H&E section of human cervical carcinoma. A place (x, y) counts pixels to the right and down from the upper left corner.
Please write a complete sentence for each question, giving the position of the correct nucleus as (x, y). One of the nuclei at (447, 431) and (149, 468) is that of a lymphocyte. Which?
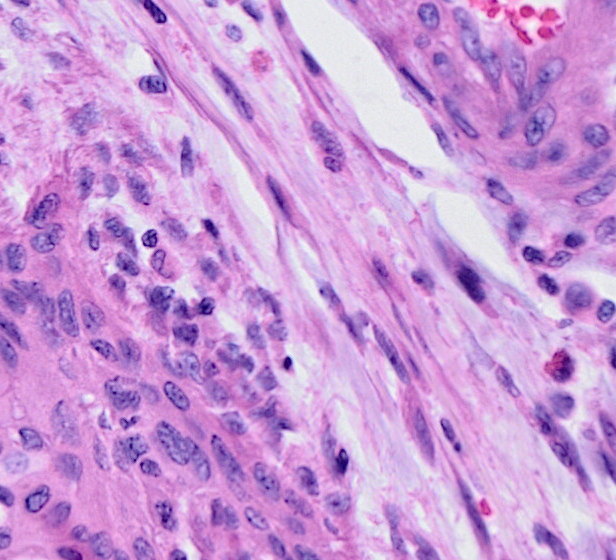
The nucleus found at (447, 431) belongs to a lymphocyte.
